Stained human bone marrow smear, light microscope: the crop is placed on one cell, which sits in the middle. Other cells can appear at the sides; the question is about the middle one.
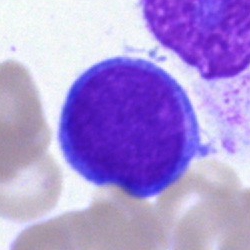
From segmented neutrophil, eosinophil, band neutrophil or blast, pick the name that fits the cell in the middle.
blast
